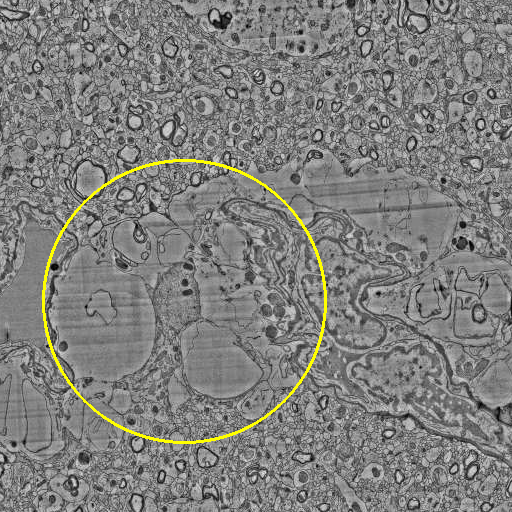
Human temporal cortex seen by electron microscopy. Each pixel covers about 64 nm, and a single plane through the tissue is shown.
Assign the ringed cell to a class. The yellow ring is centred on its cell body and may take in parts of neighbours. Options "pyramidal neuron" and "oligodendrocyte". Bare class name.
oligodendrocyte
